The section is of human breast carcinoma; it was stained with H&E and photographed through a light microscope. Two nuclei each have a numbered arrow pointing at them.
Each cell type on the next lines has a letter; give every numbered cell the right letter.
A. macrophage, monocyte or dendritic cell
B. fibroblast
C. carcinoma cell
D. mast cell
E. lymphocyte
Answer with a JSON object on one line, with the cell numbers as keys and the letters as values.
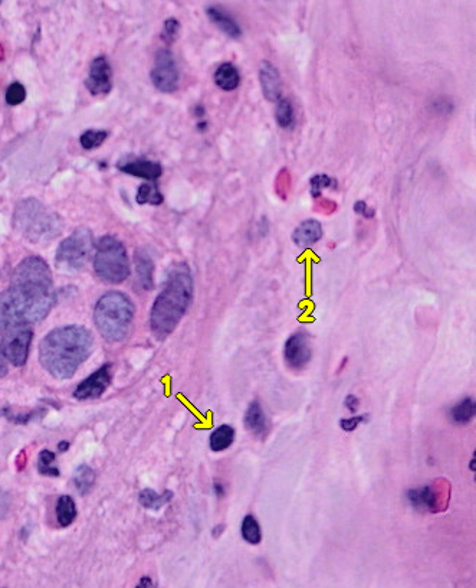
{"1": "E", "2": "D"}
